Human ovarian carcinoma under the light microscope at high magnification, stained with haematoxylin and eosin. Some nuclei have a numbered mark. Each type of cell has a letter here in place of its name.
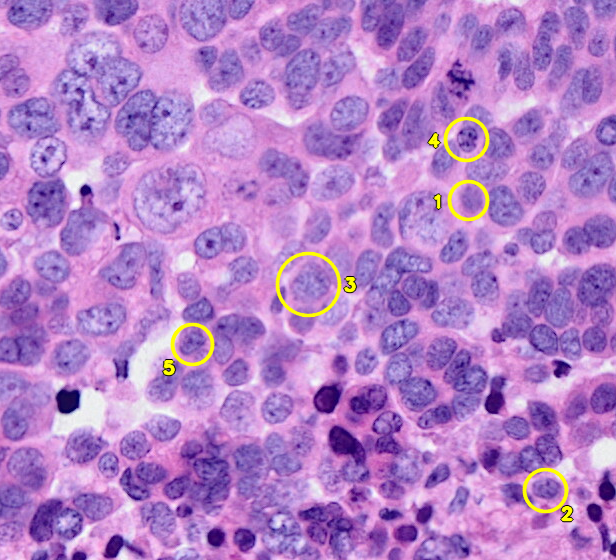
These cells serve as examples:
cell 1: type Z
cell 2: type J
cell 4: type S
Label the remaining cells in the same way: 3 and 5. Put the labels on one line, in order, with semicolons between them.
type Z; type Z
